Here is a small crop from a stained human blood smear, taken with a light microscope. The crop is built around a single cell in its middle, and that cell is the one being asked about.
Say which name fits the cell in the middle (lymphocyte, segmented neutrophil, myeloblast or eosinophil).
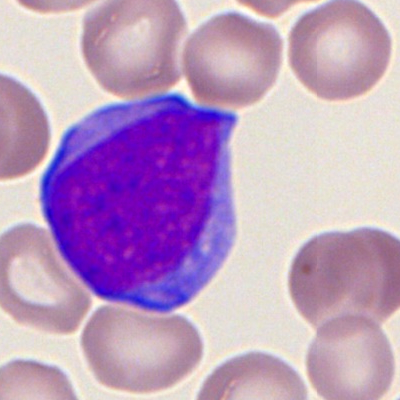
myeloblast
